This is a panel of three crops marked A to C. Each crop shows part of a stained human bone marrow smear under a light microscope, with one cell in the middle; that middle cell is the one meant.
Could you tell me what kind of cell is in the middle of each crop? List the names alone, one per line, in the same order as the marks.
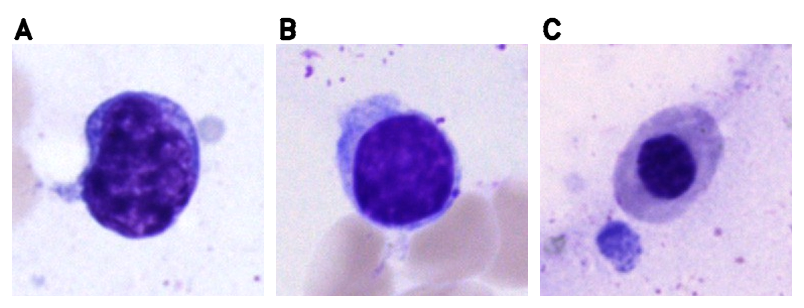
blast
lymphocyte
erythroblast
